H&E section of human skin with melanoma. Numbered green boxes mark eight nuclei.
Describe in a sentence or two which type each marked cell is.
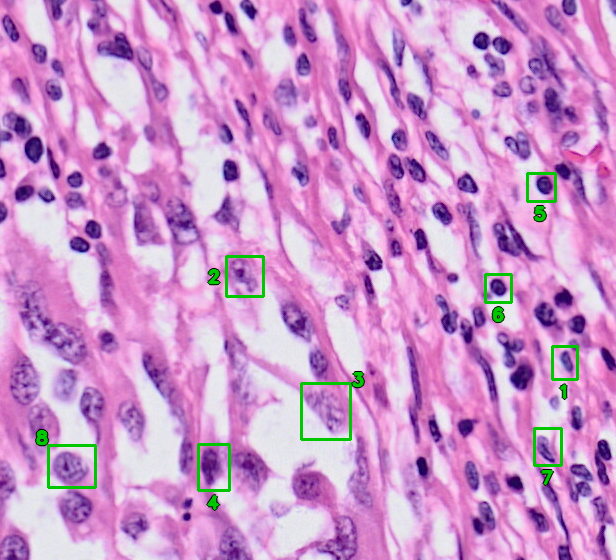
Cell 1 is a lymphocyte, cell 2 is a melanoma cell, cell 3 is a melanoma cell, cell 4 is a melanoma cell, cell 5 is a lymphocyte, cell 6 is a lymphocyte, cell 7 is a lymphocyte and cell 8 is a melanoma cell.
